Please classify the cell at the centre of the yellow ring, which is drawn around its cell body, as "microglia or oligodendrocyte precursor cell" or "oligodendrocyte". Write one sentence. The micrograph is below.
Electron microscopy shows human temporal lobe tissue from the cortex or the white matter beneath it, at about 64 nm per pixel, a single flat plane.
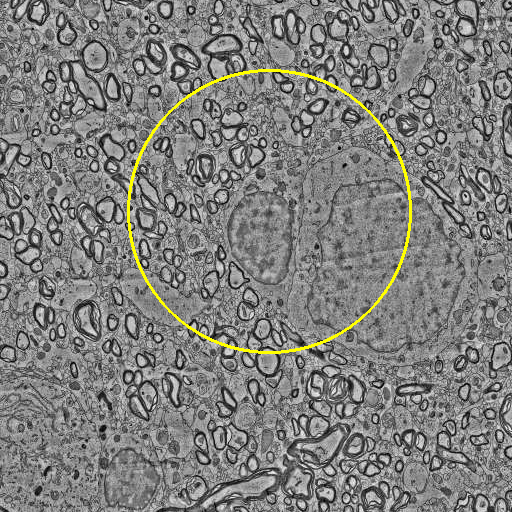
The cell at the ring's centre is classified as an oligodendrocyte.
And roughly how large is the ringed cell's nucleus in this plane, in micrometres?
The nucleus appears roughly 6 by 4 micrometres in this plane.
